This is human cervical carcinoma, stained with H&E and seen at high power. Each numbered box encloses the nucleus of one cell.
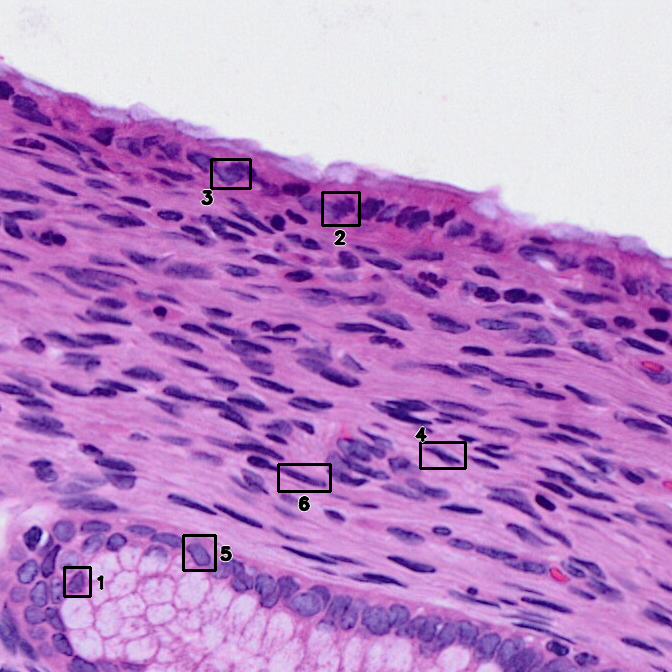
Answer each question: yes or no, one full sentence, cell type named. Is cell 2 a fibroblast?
No, cell 2 is not a fibroblast. It is a secretory epithelial cell.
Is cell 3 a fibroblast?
No, instead of a fibroblast, the cell with number 3 is a secretory epithelial cell.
